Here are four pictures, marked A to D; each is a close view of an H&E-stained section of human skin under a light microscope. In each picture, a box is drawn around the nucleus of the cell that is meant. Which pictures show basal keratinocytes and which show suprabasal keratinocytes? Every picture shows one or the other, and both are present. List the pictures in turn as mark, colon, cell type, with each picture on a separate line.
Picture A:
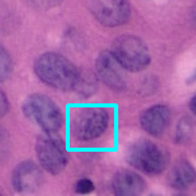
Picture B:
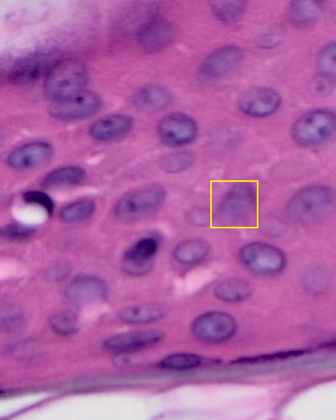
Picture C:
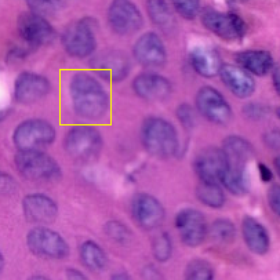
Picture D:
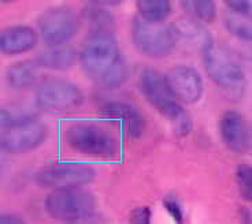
A: basal keratinocyte
B: suprabasal keratinocyte
C: suprabasal keratinocyte
D: basal keratinocyte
